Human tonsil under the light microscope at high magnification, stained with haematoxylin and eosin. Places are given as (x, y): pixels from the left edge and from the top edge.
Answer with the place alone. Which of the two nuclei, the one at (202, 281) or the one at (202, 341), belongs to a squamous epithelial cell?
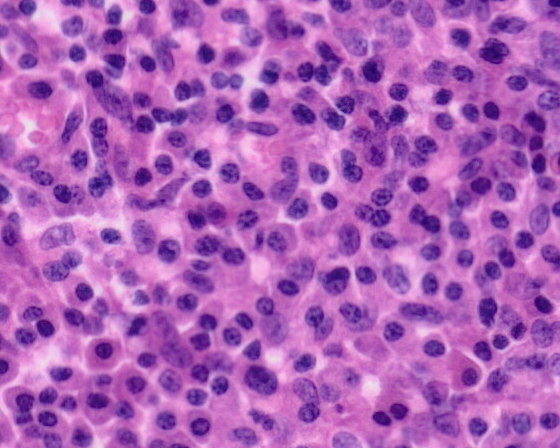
(202, 281)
